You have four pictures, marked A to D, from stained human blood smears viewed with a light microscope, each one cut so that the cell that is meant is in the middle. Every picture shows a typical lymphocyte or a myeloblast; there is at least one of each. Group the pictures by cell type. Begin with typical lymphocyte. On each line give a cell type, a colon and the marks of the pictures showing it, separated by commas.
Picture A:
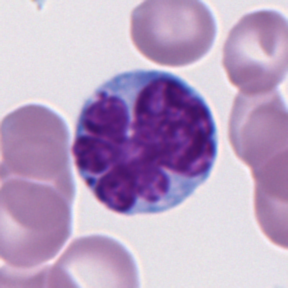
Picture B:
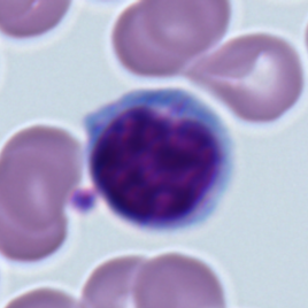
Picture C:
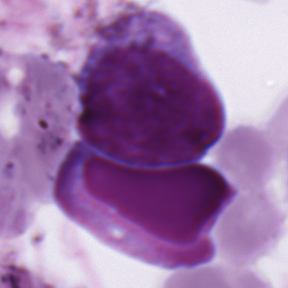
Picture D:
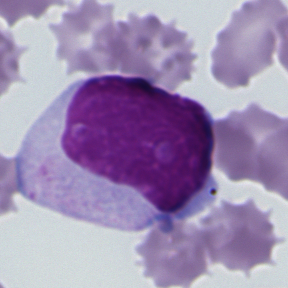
typical lymphocyte: B
myeloblast: A, C, D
